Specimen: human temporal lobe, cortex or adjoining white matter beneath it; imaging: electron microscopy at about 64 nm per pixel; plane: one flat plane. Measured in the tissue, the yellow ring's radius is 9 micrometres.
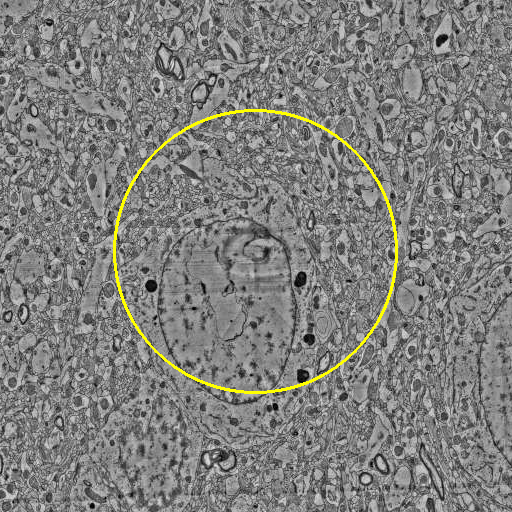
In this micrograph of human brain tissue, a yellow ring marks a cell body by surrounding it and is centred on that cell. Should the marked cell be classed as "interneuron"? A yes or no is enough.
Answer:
no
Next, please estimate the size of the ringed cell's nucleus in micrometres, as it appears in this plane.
Approximately 12 x 9 micrometres in this plane.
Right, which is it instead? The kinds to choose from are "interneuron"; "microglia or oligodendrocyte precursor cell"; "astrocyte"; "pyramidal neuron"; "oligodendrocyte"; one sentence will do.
The cell at the middle of the ring is a pyramidal neuron.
